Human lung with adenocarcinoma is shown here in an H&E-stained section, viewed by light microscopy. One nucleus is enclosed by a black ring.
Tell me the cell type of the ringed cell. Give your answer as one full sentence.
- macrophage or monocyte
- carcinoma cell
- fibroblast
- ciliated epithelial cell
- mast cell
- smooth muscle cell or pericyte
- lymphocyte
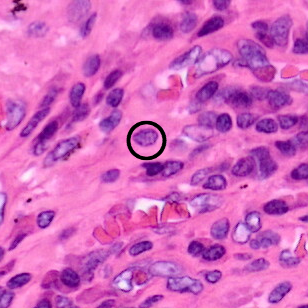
Placed in its cell category, the ringed cell is a mast cell.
